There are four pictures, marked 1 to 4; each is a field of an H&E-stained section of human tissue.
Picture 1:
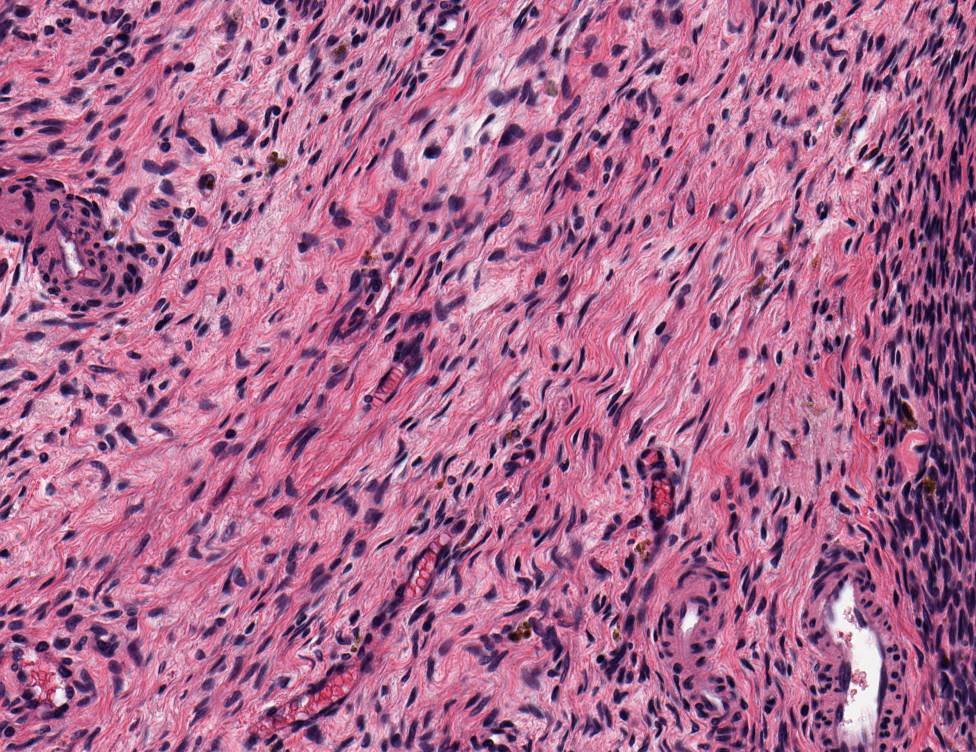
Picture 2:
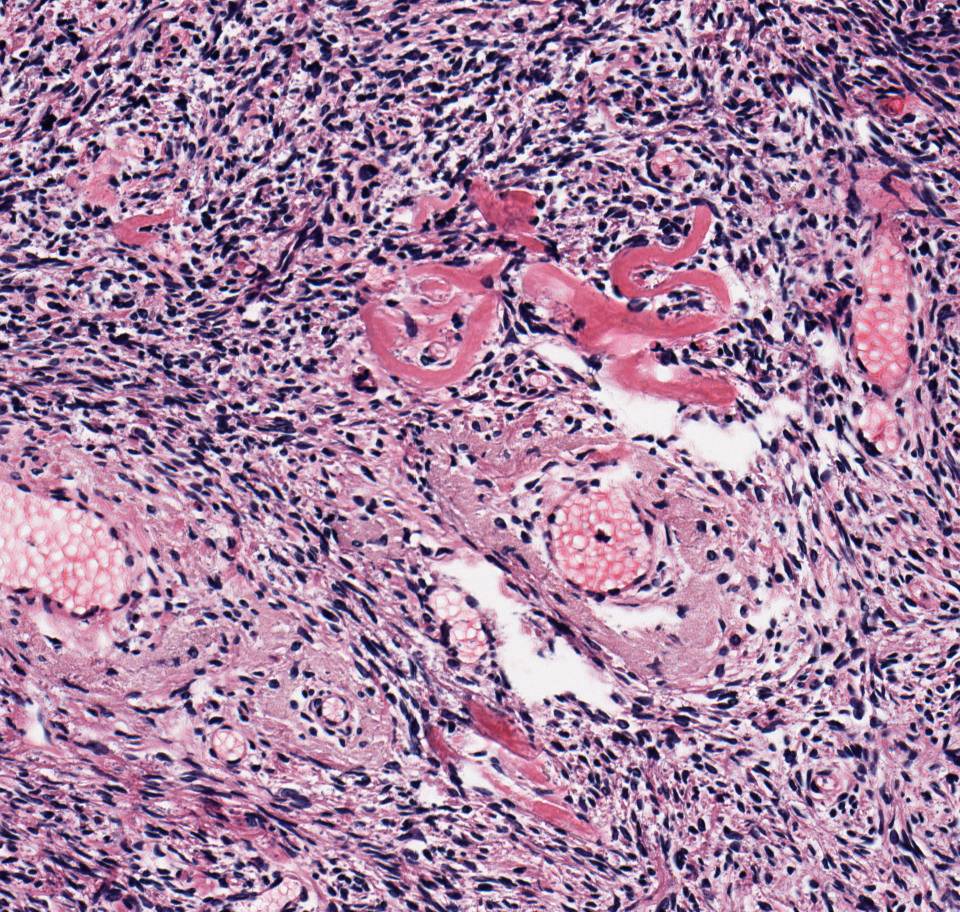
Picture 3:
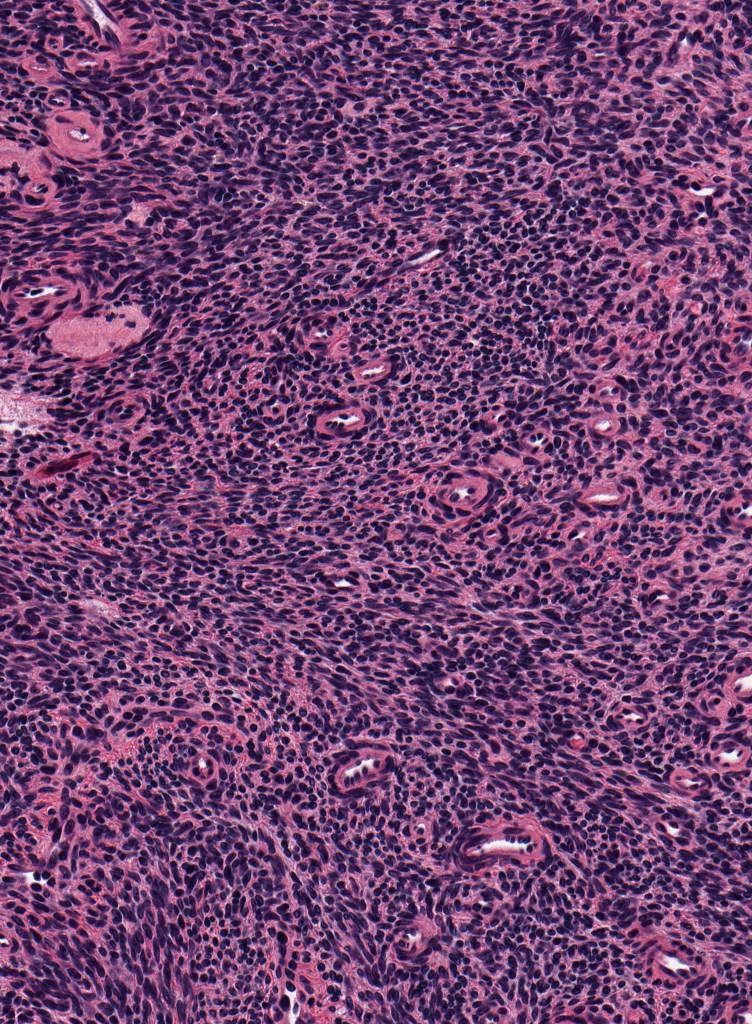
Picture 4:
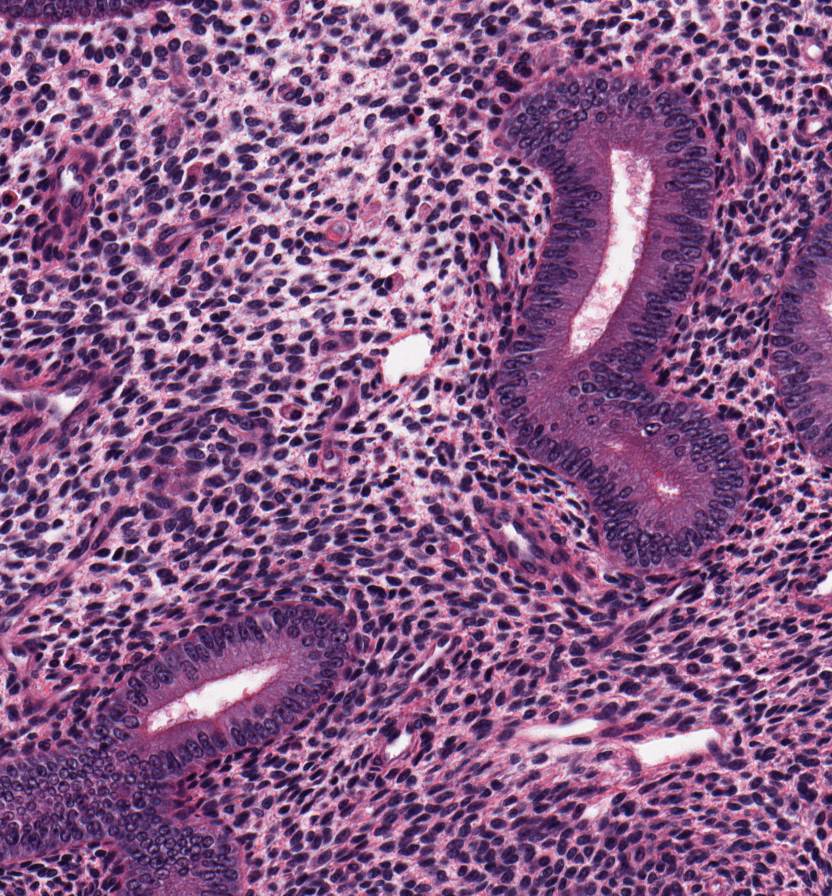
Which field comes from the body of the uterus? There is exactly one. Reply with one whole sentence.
Picture 4 comes from the body of the uterus.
